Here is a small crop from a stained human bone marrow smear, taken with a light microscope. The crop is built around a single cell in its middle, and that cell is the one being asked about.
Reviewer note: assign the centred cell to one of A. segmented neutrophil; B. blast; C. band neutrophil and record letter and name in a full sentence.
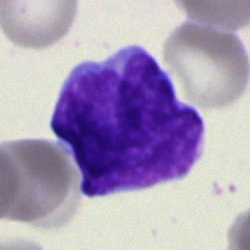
Option B gets it right: the cell in the middle is a blast.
